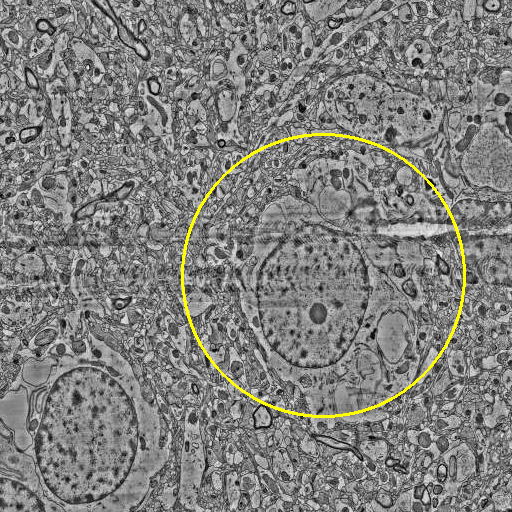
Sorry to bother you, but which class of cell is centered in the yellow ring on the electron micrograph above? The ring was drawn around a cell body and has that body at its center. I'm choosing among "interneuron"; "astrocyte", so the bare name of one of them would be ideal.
astrocyte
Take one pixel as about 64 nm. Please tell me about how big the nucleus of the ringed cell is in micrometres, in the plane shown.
In this plane the nucleus spans approximately 9 by 7 micrometers.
